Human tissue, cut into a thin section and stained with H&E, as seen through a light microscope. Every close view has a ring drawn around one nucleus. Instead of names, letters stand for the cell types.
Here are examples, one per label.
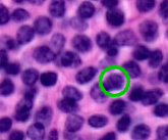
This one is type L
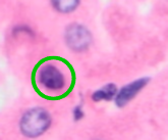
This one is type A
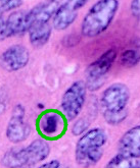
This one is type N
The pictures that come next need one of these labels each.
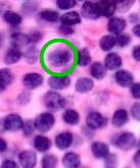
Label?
type L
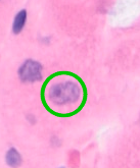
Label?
type A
